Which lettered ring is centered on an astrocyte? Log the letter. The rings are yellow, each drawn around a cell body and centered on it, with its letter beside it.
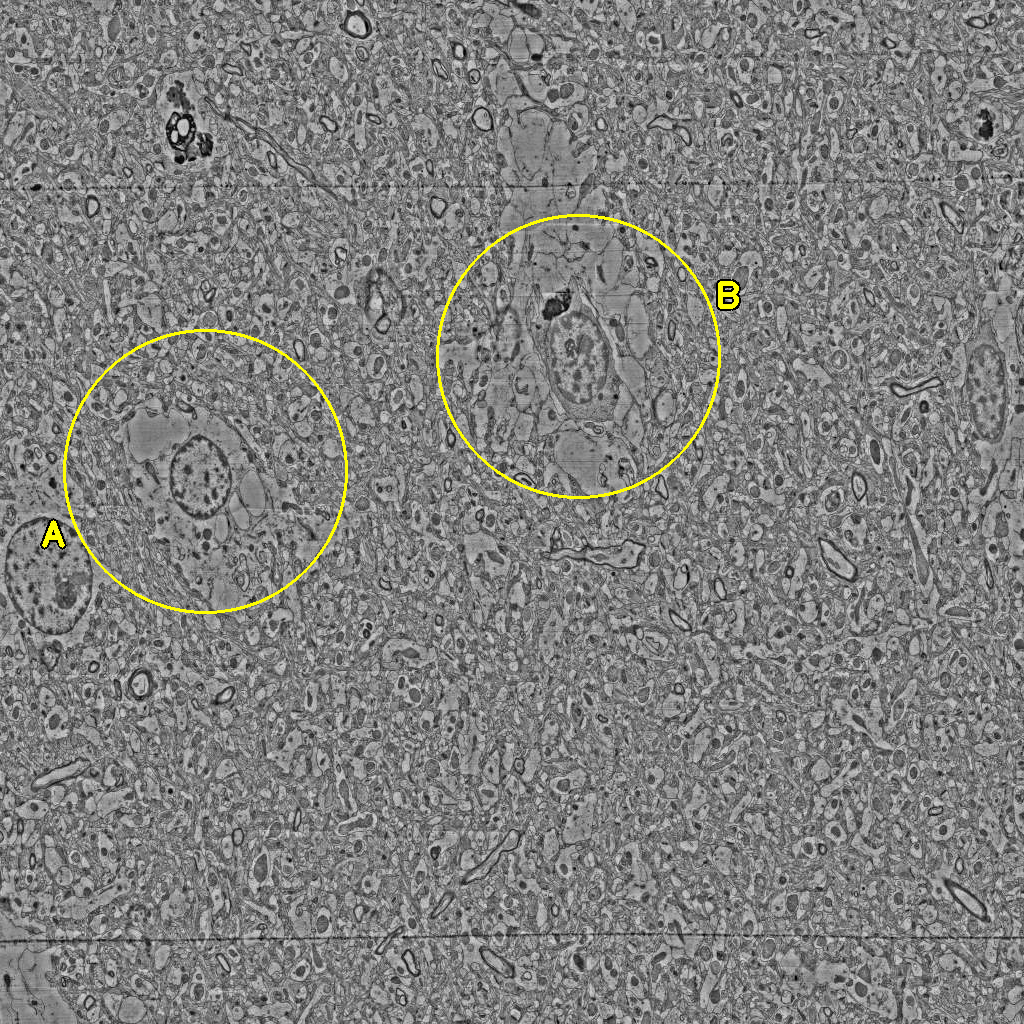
A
